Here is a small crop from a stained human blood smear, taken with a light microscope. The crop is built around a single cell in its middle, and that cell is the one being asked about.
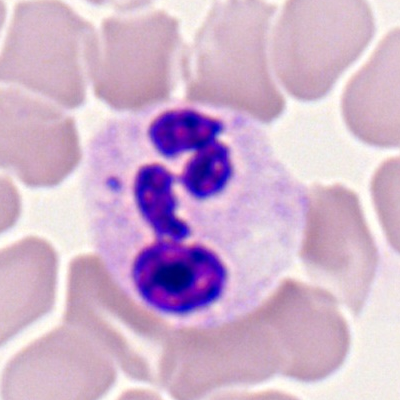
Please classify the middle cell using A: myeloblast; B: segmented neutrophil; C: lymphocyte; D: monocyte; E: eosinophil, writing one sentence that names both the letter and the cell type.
Option B holds, for the cell in the middle is a segmented neutrophil.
